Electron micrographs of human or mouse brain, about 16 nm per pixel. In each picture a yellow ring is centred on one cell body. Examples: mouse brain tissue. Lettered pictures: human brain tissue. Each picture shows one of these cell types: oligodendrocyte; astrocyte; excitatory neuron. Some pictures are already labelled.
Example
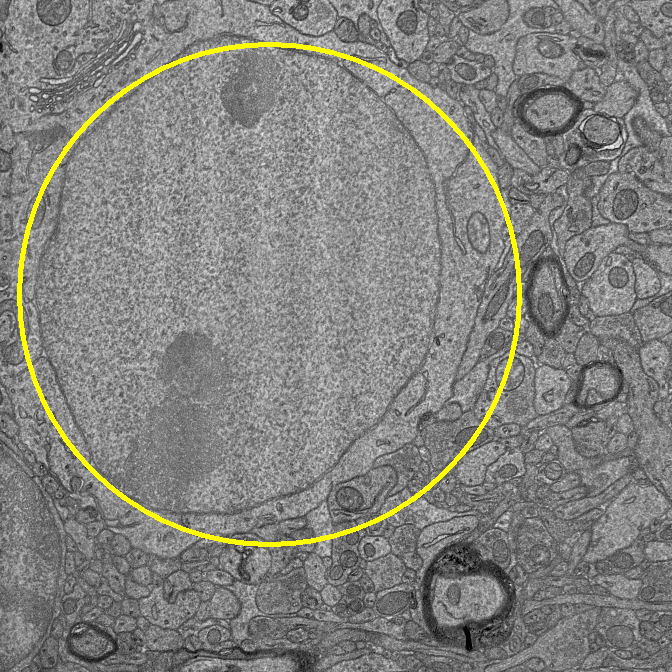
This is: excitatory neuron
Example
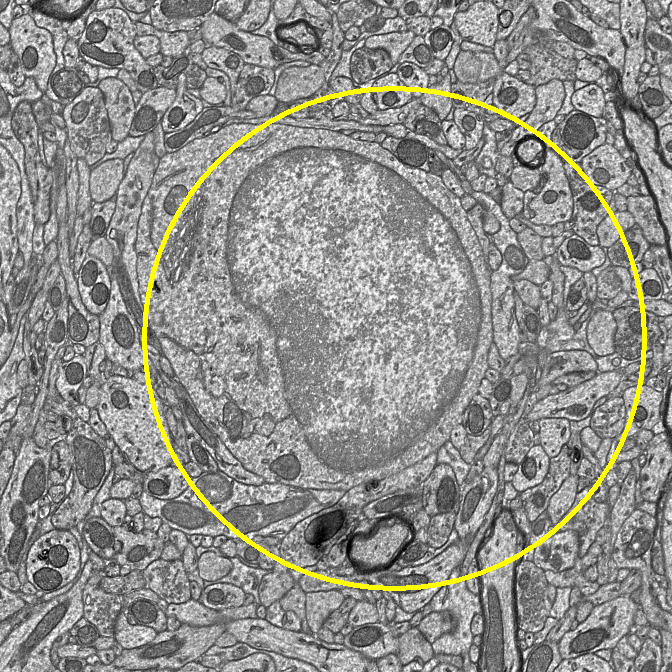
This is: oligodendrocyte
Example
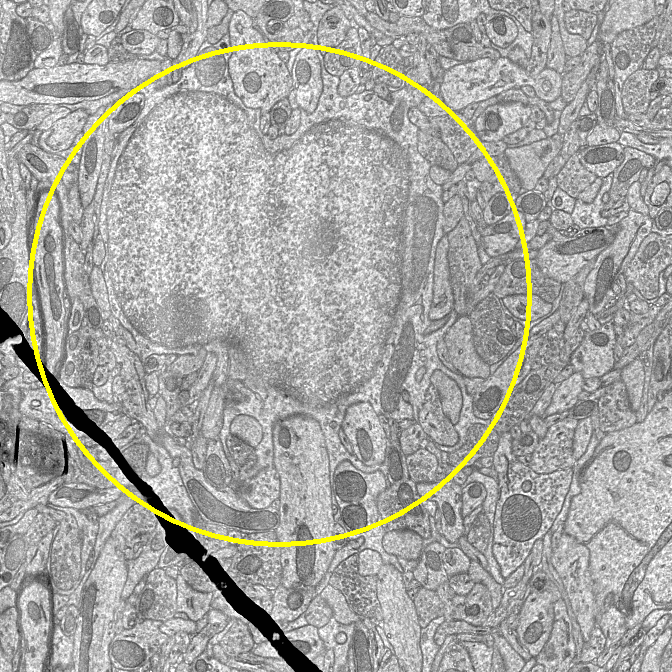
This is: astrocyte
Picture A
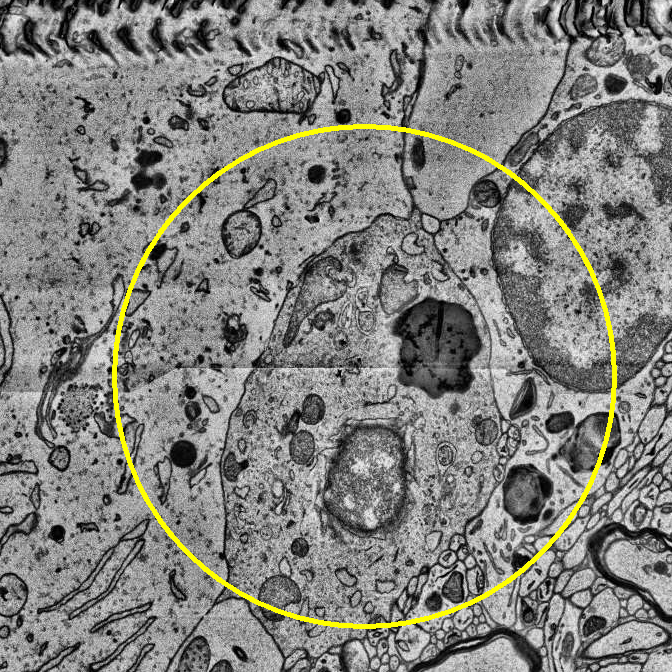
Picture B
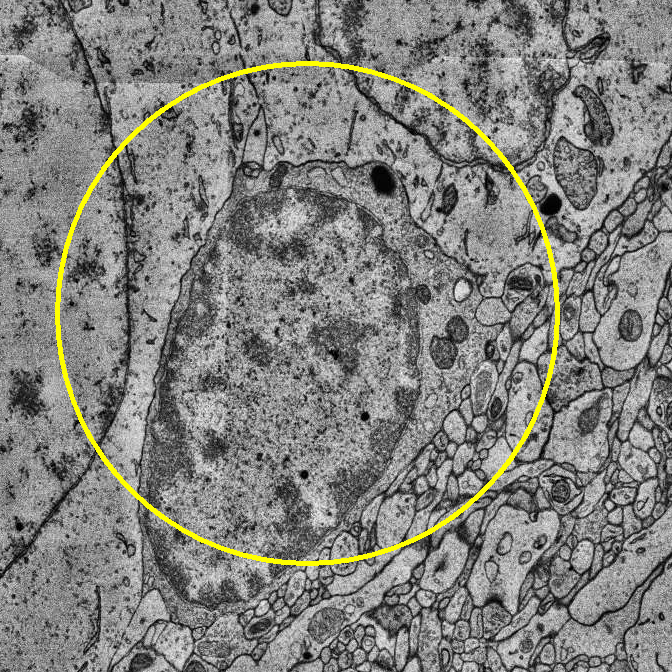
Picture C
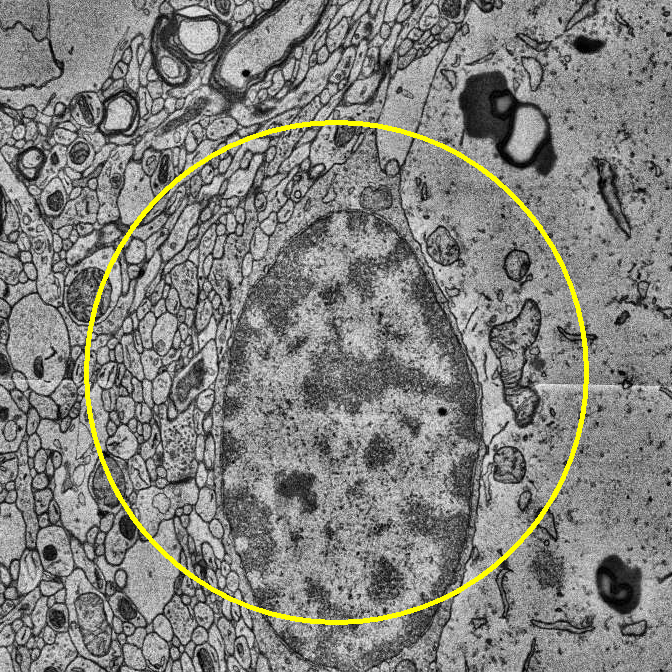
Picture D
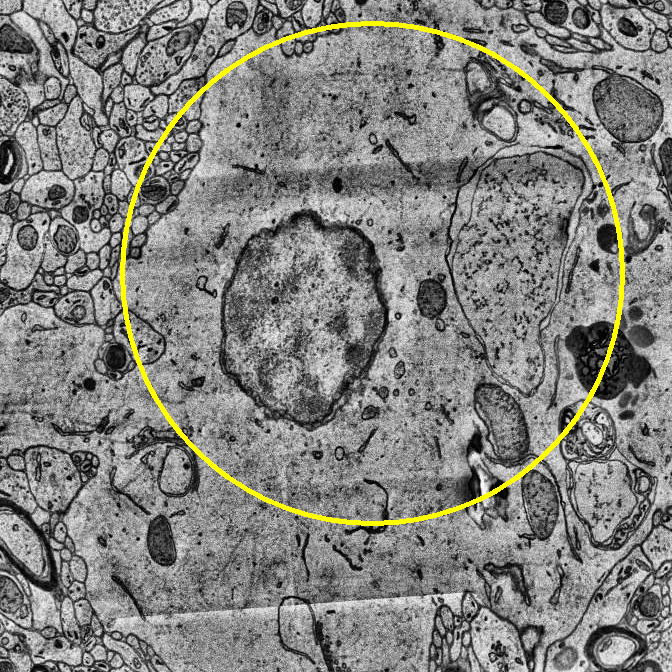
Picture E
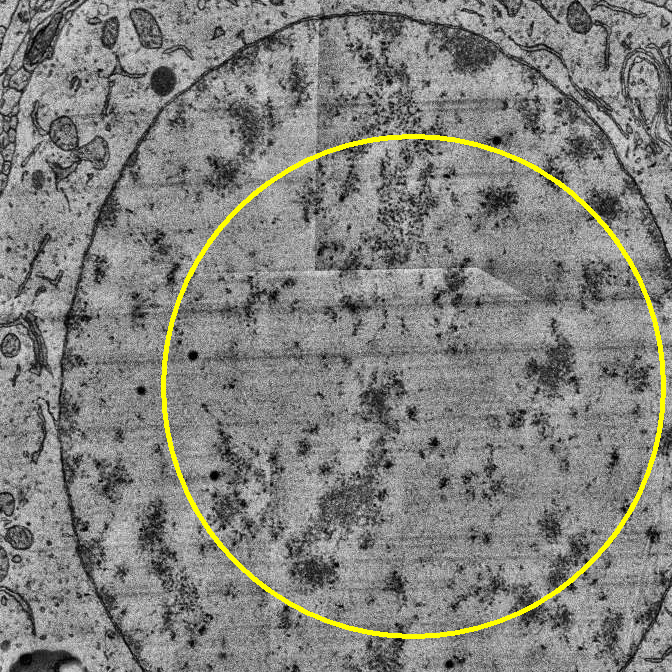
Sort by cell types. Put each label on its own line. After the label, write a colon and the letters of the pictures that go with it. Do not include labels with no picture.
oligodendrocyte: A, B, C
astrocyte: D
excitatory neuron: E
